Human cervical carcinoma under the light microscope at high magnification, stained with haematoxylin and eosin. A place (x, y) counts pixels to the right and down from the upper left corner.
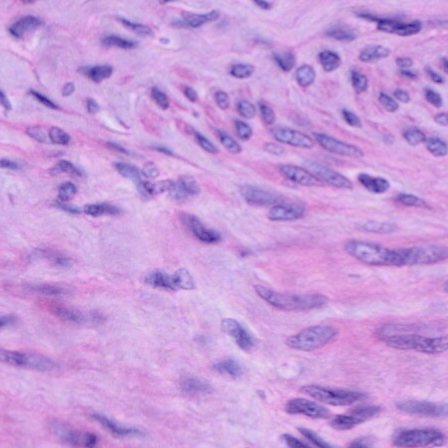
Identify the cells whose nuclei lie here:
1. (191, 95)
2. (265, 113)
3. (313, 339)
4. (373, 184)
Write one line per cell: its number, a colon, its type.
1: smooth muscle cell
2: smooth muscle cell
3: smooth muscle cell
4: lymphocyte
